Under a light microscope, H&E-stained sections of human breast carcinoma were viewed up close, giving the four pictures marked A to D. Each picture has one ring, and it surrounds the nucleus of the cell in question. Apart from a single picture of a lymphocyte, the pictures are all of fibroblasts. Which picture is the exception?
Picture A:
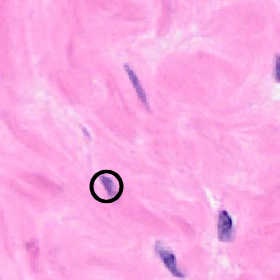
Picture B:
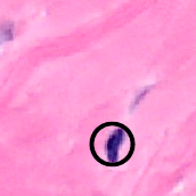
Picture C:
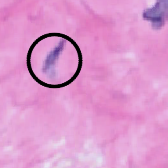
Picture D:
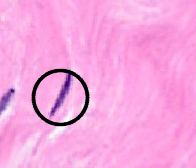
B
